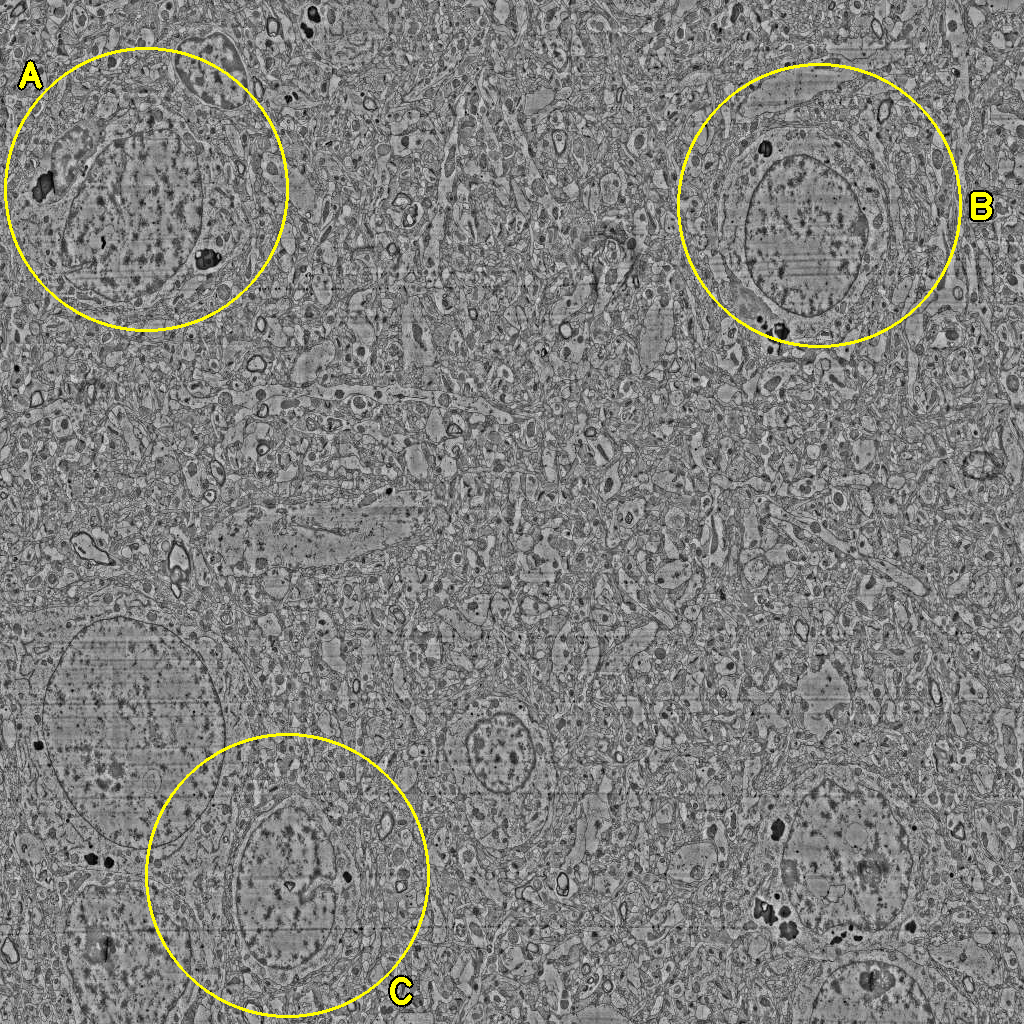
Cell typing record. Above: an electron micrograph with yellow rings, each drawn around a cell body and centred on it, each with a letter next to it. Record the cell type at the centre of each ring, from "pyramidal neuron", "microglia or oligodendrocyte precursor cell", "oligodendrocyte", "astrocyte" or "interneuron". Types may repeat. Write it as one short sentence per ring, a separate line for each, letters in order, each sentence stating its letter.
Ring A circles an interneuron.
Ring B circles a pyramidal neuron.
Ring C circles an interneuron.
